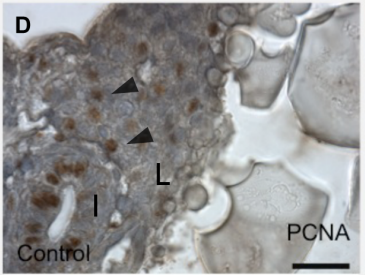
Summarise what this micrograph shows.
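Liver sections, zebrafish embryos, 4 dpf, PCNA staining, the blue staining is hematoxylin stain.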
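Hepatocytes form a sheet of cells with pale greyish cytoplasm; some have round nuclei stained brown, while others show bluish-grey nuclei. Brown nuclei are scattered rather than crowded. Arrowheads mark brown-nucleated hepatocytes. At the right, large clear polygonal shapes lie outside the tissue.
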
